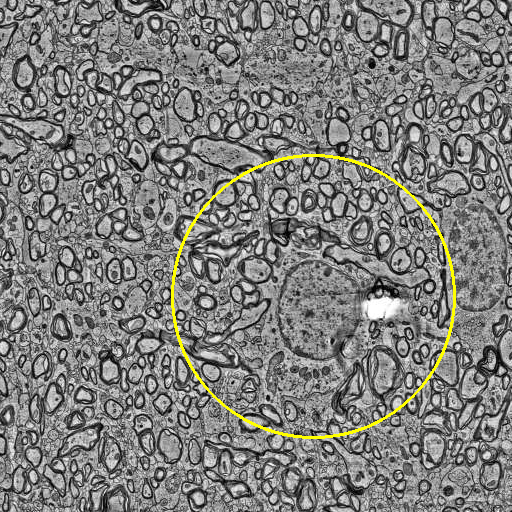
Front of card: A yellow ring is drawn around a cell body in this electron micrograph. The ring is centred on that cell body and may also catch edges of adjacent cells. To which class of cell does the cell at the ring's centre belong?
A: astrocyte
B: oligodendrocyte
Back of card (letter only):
A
